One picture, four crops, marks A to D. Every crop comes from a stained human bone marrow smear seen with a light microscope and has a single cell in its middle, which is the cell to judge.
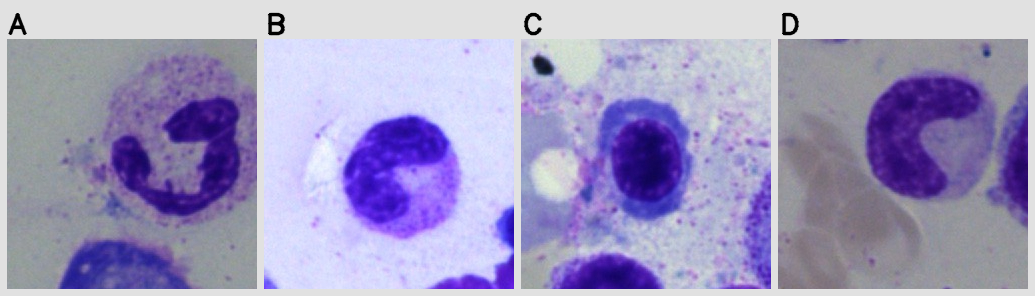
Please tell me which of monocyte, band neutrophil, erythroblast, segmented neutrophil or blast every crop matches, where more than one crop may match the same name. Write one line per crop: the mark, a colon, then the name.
A: segmented neutrophil
B: band neutrophil
C: erythroblast
D: band neutrophil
